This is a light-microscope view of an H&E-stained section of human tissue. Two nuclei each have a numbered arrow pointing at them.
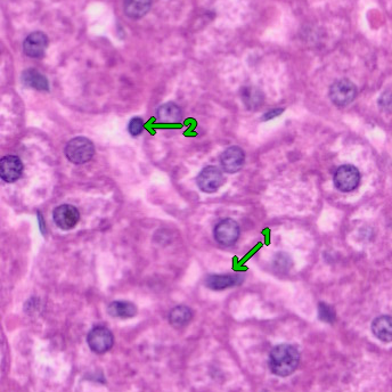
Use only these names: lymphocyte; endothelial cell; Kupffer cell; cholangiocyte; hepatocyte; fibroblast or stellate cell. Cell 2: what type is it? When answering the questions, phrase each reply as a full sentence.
Number 2 is placed on a lymphocyte here.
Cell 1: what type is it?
Cell number 1 in this section is a Kupffer cell.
